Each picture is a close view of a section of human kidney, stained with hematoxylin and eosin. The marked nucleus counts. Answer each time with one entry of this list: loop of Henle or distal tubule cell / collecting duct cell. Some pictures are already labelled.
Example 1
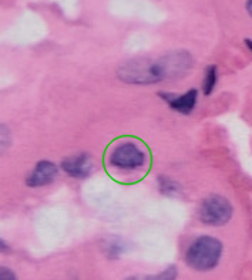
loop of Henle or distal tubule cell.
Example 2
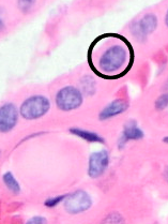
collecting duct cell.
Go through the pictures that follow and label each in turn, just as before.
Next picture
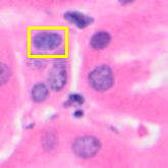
collecting duct cell.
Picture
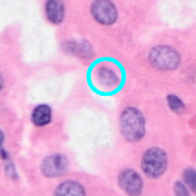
loop of Henle or distal tubule cell.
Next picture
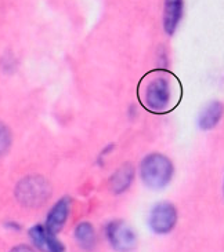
loop of Henle or distal tubule cell.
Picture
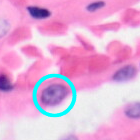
loop of Henle or distal tubule cell.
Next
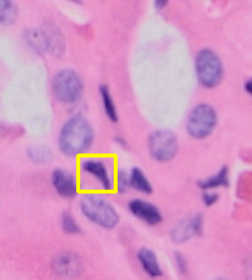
collecting duct cell.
